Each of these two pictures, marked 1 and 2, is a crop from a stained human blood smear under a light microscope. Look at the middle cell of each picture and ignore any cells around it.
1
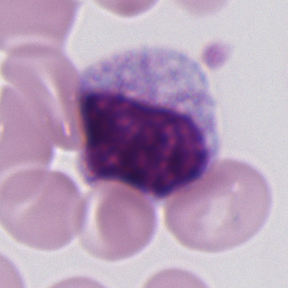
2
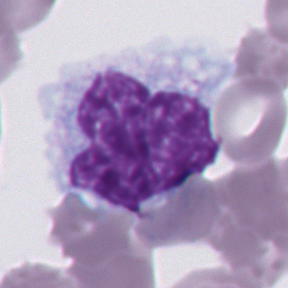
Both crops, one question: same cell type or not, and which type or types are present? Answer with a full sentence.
No, crop 1 contains a metamyelocyte, and crop 2 contains a monocyte.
